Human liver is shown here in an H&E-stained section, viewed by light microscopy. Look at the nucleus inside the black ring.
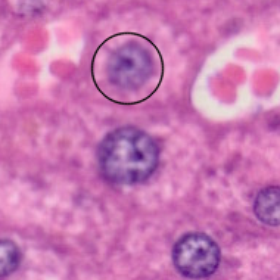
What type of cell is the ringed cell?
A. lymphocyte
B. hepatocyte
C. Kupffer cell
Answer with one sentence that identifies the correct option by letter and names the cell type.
Of all the options, B is right, since the ringed cell is a hepatocyte.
